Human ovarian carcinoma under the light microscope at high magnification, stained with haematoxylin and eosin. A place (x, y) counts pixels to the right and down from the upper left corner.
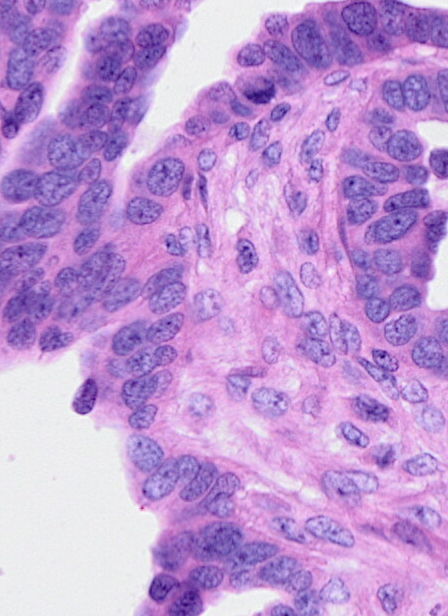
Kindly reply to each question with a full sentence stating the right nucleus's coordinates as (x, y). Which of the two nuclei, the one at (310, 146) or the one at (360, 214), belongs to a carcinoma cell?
It is at (360, 214) that the nucleus of a carcinoma cell is found.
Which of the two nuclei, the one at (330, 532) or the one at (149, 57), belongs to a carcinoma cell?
Of the two, the nucleus lying at (149, 57) is the one belonging to a carcinoma cell.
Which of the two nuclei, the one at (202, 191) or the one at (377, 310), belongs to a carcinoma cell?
That would be the nucleus at (377, 310); it belongs to a carcinoma cell.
